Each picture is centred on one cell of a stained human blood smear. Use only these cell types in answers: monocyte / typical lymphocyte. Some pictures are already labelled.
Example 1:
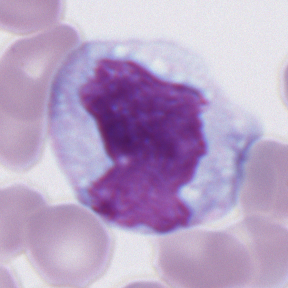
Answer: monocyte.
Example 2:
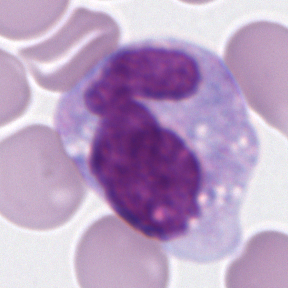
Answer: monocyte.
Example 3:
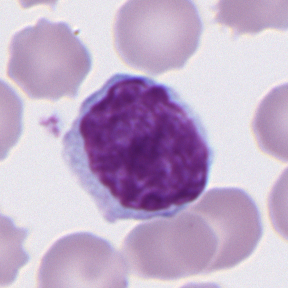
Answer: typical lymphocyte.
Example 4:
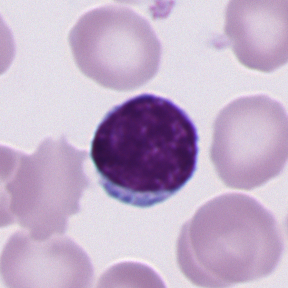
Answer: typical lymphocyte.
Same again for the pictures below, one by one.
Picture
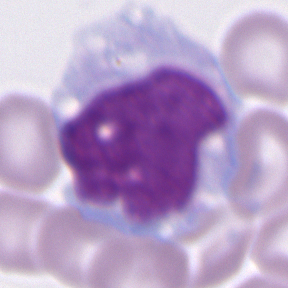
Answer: monocyte.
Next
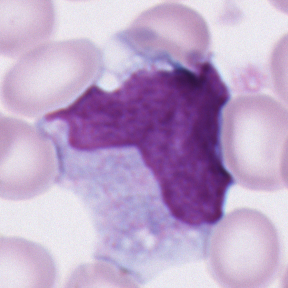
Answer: monocyte.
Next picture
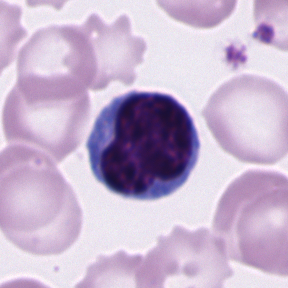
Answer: typical lymphocyte.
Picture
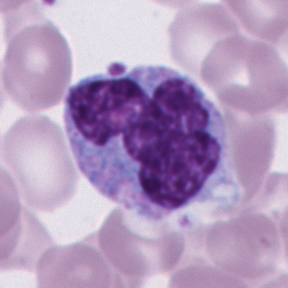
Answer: monocyte.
